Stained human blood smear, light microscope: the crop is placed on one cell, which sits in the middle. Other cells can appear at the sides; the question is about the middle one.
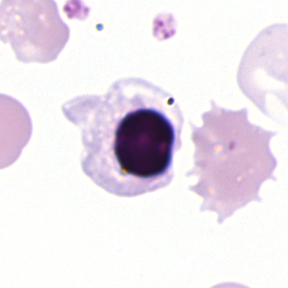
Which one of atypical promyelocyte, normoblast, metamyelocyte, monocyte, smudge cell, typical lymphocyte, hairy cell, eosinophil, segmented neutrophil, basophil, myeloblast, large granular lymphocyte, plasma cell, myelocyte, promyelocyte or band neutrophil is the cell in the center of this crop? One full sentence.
The cell found in the middle of this crop is a normoblast.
